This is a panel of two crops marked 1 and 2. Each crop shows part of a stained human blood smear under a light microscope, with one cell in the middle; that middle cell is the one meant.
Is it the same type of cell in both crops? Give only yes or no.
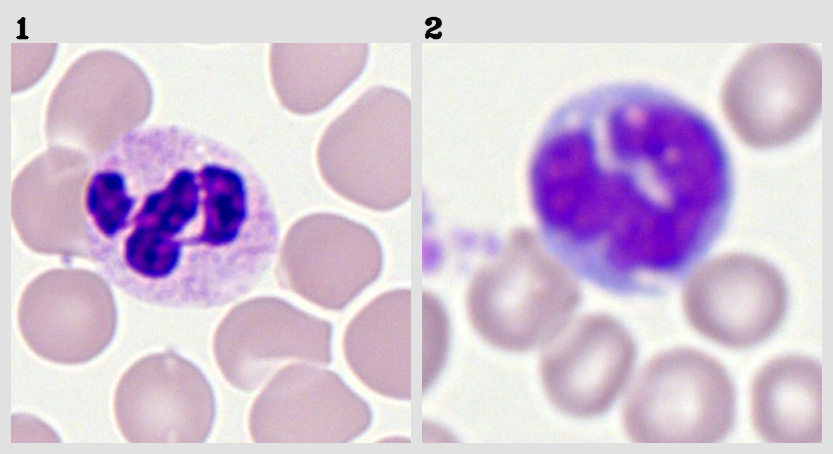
no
